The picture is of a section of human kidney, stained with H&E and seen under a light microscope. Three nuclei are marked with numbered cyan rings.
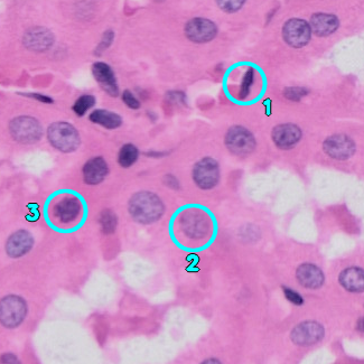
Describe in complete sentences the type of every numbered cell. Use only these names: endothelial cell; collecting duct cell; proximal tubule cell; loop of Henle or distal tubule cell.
Cell 1 is an endothelial cell. Cells 2 and 3 are proximal tubule cells.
